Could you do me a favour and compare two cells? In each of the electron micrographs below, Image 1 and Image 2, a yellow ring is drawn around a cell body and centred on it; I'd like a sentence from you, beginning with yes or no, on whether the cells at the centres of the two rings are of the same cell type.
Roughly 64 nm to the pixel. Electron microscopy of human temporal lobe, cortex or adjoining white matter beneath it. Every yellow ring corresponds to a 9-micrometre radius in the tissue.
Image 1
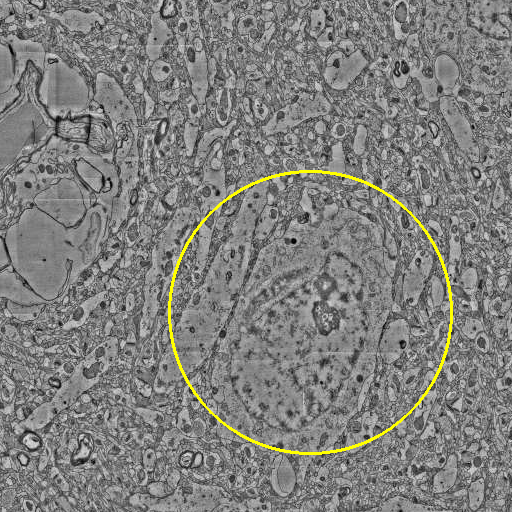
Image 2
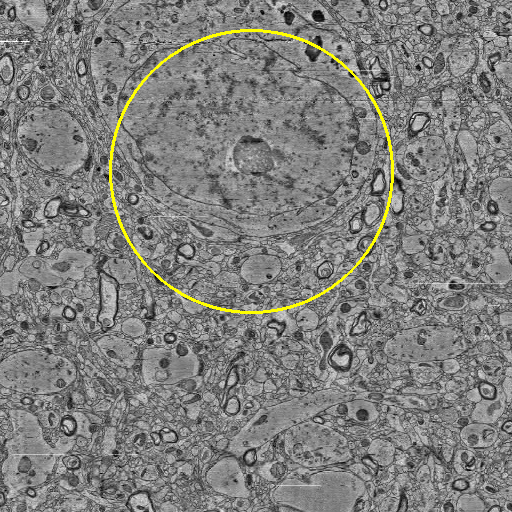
No, the two cells are of two cell types.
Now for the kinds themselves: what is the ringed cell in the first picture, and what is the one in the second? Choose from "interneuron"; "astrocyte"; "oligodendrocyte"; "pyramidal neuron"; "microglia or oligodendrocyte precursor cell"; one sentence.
Here the first cell is an interneuron and the second cell is a pyramidal neuron.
